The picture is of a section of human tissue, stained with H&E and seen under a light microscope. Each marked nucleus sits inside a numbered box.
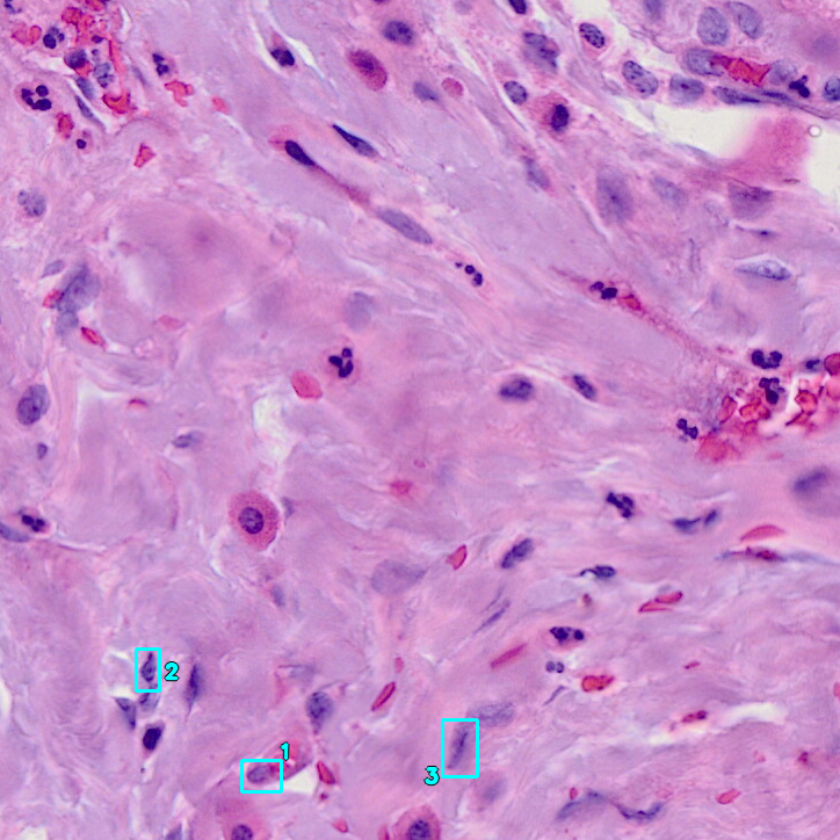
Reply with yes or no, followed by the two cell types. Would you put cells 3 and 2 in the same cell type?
Yes, and to be precise, cells 3 and 2 are both fibroblasts.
